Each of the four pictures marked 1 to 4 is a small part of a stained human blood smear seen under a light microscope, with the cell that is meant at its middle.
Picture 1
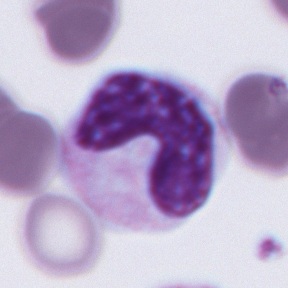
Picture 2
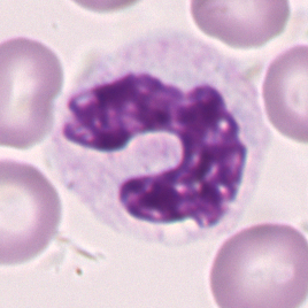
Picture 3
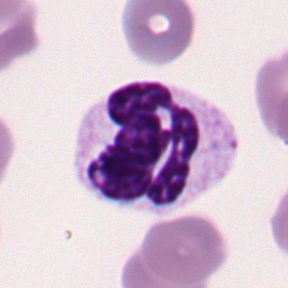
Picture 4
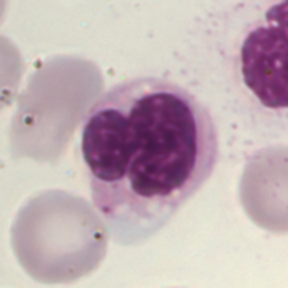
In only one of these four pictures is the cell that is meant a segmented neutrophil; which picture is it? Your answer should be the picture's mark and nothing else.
3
